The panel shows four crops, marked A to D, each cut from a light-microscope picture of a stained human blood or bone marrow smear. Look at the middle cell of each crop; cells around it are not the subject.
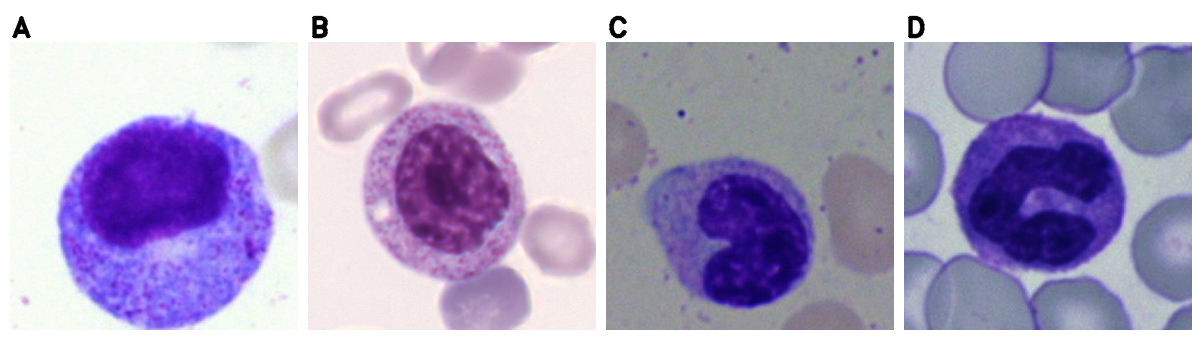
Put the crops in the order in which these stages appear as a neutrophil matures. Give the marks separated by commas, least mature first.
A, B, C, D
